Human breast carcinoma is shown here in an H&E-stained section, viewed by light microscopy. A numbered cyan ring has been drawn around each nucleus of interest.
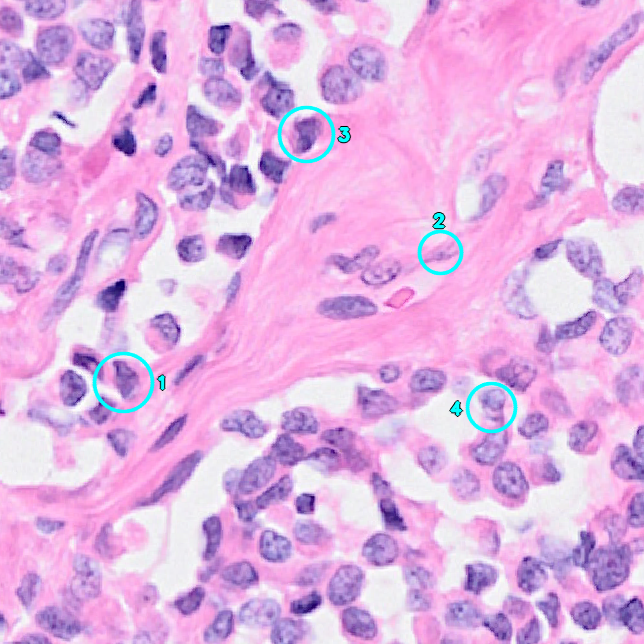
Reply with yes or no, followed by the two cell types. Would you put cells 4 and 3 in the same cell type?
Yes, both are carcinoma cells.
